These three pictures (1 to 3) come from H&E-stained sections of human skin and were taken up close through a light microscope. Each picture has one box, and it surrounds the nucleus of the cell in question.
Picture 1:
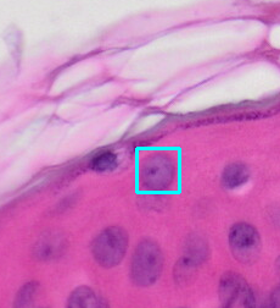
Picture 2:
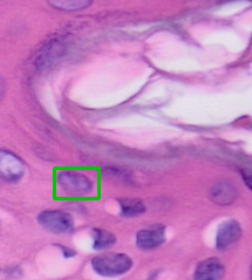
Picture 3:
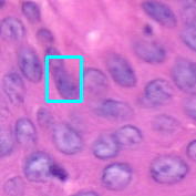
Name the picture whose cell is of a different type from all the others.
3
